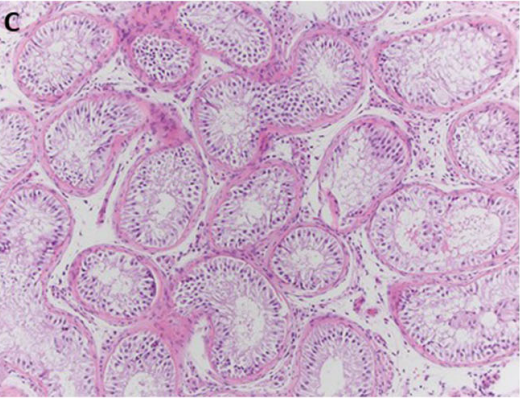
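This low-magnification view shows many closely packed cross-sections of seminiferous tubules. Each tubule is lined by a single kind of pale, tall cell whose nuclei sit mostly toward the base and whose wispy cytoplasm reaches toward the lumen. The stratified layers of germ cells of normal tubules are absent. Loose, pale interstitial tissue lies between the tubules.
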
